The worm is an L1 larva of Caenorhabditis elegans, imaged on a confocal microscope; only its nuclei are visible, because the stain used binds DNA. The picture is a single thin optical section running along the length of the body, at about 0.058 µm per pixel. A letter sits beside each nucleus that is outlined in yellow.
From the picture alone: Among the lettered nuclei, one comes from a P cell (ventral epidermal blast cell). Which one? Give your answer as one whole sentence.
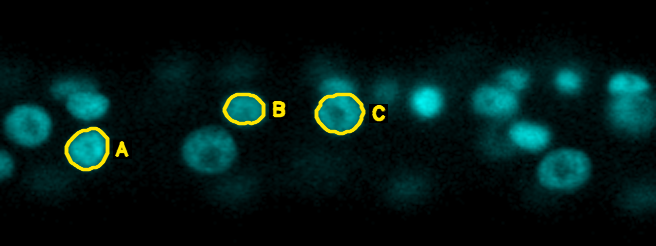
It is B that belongs to a P cell (ventral epidermal blast cell).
